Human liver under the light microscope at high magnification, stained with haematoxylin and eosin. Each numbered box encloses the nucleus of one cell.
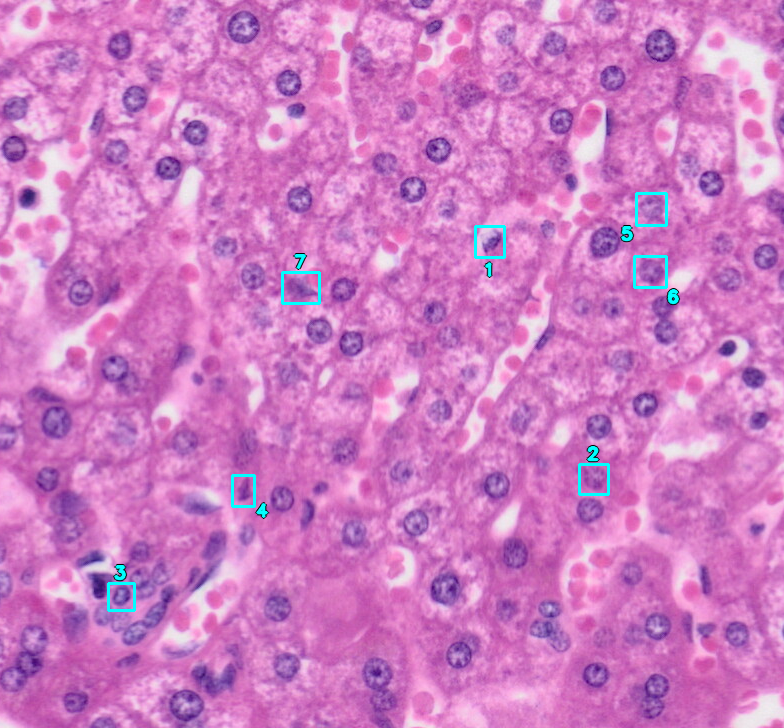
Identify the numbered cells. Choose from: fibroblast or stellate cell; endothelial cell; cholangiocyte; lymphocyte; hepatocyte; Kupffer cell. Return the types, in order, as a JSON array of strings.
["endothelial cell", "hepatocyte", "cholangiocyte", "fibroblast or stellate cell", "hepatocyte", "hepatocyte", "endothelial cell"]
